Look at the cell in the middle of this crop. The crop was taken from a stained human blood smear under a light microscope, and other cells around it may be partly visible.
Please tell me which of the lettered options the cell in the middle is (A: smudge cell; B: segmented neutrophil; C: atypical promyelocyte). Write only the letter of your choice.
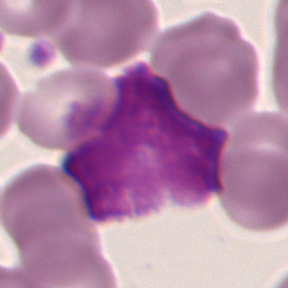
A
